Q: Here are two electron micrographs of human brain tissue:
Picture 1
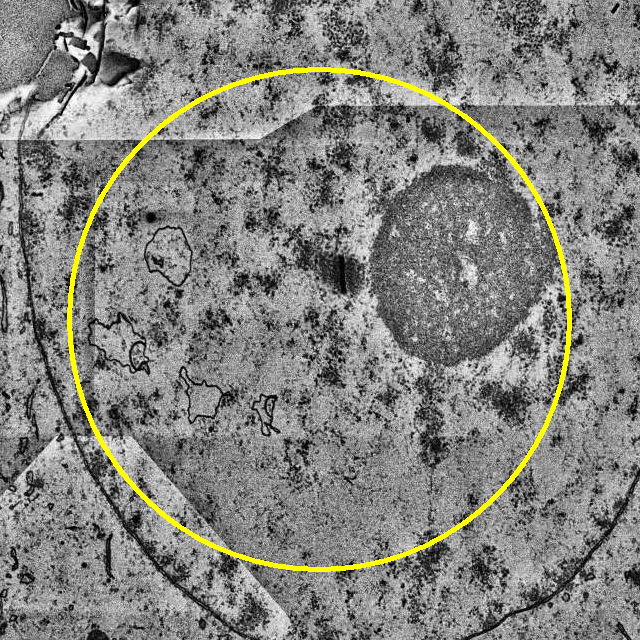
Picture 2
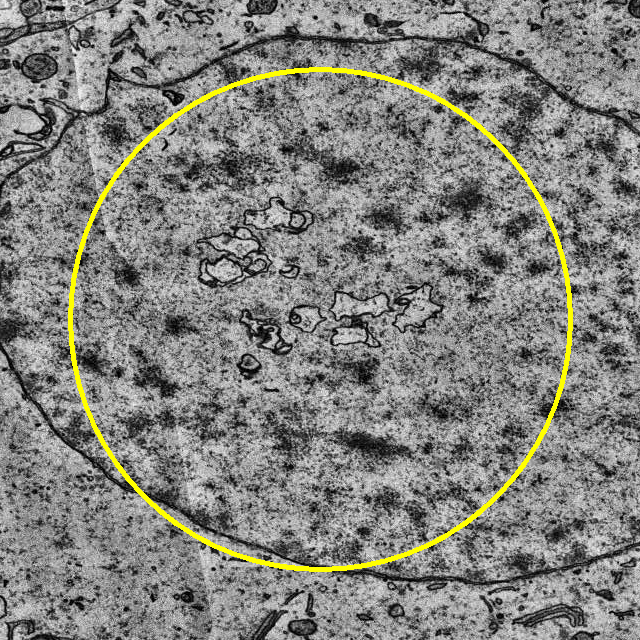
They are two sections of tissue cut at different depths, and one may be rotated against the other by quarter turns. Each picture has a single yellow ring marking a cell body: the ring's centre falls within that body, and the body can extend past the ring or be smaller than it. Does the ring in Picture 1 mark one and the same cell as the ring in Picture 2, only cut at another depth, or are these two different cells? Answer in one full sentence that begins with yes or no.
No, the rings single out two cells that are separate from each other.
